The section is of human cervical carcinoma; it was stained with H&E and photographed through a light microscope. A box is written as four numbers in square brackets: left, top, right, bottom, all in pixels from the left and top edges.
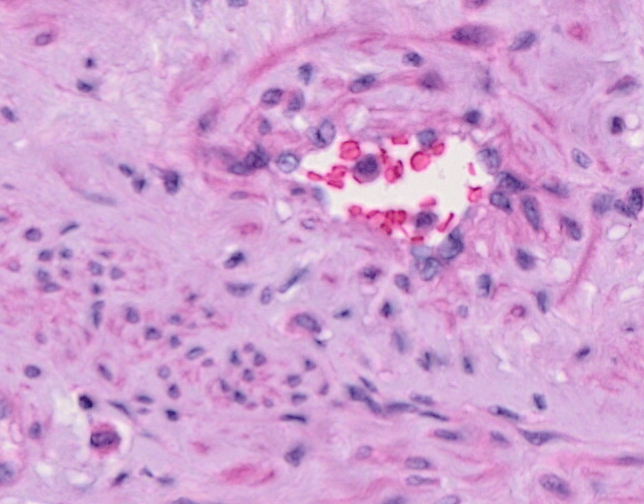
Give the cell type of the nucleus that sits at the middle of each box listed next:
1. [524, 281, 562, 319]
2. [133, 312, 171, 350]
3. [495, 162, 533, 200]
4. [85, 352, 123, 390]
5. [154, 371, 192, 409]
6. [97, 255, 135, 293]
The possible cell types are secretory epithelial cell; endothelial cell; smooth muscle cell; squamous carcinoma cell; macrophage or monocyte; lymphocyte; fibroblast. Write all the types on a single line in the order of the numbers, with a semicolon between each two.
fibroblast; smooth muscle cell; endothelial cell; smooth muscle cell; smooth muscle cell; smooth muscle cell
